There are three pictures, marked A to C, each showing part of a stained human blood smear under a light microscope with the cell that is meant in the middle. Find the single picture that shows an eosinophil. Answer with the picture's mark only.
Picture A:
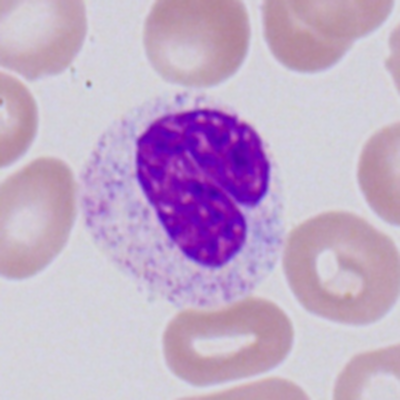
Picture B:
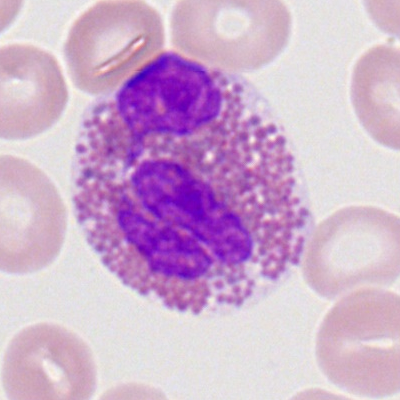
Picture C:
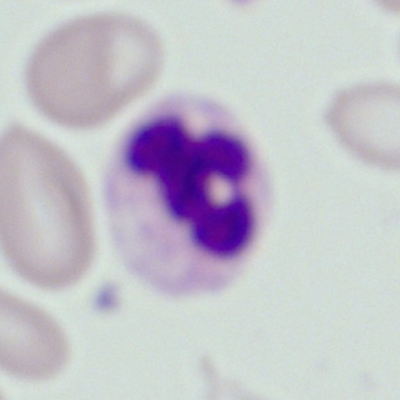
B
